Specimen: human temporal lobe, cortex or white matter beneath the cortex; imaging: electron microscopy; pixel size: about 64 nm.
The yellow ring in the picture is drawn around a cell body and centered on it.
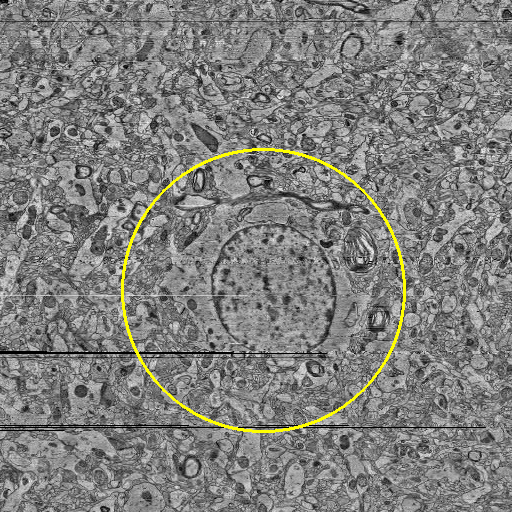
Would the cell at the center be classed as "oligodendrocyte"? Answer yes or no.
No, it belongs to another class.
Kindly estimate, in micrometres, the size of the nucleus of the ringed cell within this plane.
The ringed cell's nucleus is about 9 micrometres long and 8 micrometres wide in this plane.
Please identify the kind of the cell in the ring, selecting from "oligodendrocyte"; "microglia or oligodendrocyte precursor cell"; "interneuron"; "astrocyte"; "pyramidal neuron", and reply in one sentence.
Instead, the cell inside the ring is an astrocyte.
